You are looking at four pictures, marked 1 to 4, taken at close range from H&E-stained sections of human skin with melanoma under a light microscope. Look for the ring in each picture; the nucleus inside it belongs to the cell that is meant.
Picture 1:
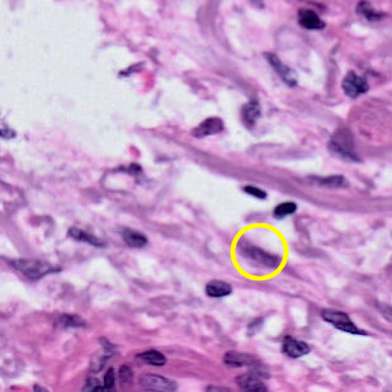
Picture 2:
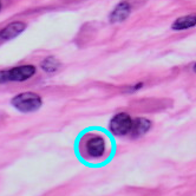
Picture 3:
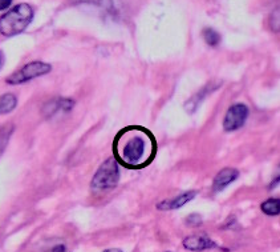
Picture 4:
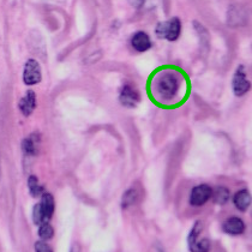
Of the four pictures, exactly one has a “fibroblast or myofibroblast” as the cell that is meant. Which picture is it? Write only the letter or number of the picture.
1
